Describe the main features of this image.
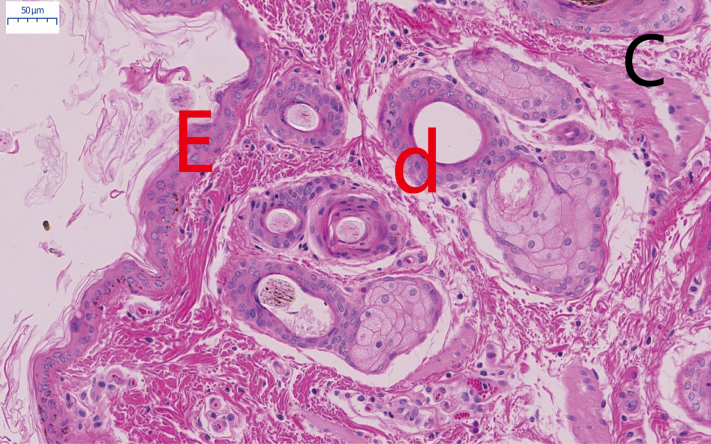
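The epidermis is only a few cell layers thick, with purple-staining nuclei and loose pink keratin flakes lifting off its surface. In the dermis, the round follicles are made of concentric layers of epithelial cells with purple nuclei surrounding central hair shafts, some of which contain dark brown pigment. Beside several follicles lie lobules of large pale cells with foamy, finely vacuolated cytoplasm and small central nuclei. Pink fibrous connective tissue with scattered small dark nuclei fills the spaces between these structures.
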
